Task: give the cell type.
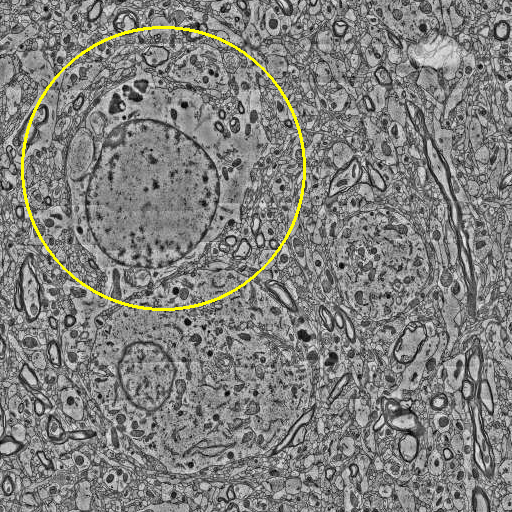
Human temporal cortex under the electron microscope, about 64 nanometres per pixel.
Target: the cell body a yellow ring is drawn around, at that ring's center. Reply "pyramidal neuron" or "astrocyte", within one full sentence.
In this picture, the cell whose body lies at the ring's center is an astrocyte.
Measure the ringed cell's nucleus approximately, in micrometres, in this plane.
Roughly 9 micrometres across for the nucleus, in this plane.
